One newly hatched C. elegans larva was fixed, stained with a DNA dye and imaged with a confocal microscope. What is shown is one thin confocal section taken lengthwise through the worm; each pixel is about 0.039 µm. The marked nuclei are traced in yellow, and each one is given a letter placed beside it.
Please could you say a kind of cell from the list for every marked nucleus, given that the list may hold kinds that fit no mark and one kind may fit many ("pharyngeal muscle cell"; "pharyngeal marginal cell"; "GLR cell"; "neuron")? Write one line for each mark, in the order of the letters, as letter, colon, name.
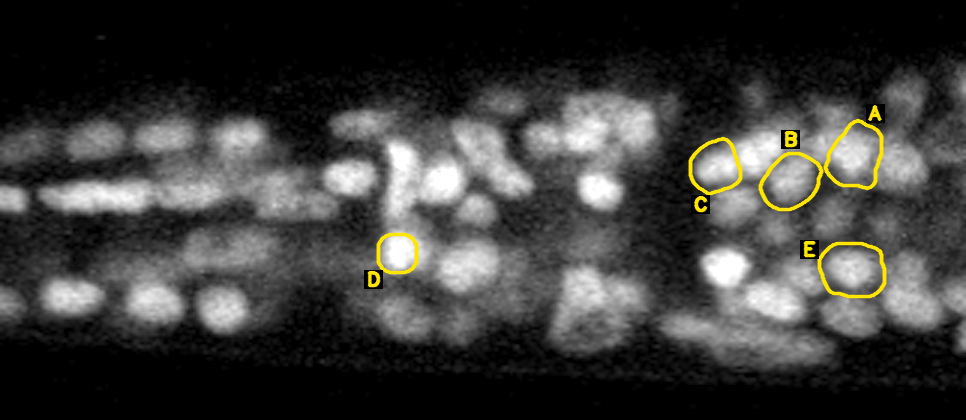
A: neuron
B: neuron
C: GLR cell
D: pharyngeal muscle cell
E: neuron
